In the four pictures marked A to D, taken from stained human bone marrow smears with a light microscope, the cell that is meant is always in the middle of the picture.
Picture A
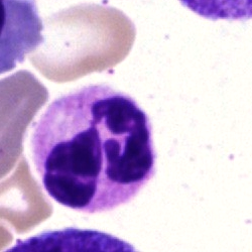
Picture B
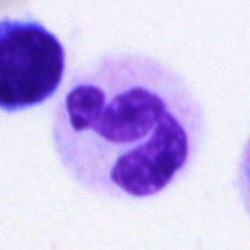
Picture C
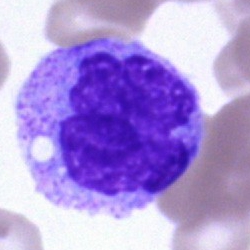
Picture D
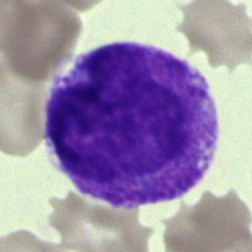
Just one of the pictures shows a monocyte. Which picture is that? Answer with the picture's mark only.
C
